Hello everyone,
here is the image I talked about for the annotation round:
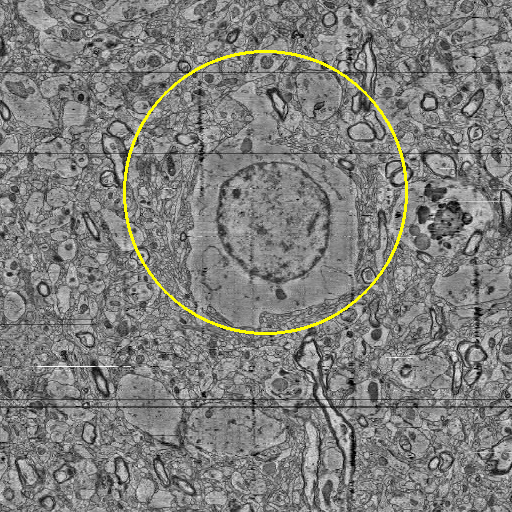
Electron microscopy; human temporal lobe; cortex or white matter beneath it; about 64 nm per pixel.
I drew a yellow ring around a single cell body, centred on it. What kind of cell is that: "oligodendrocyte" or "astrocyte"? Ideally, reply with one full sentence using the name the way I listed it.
The cell your yellow ring is centred on is an astrocyte, going by your list.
